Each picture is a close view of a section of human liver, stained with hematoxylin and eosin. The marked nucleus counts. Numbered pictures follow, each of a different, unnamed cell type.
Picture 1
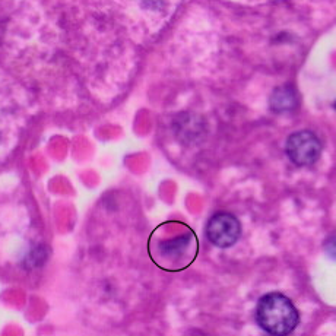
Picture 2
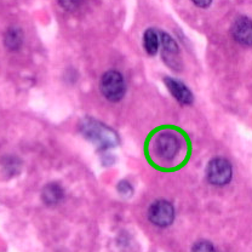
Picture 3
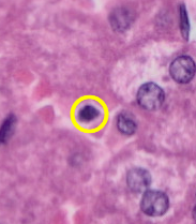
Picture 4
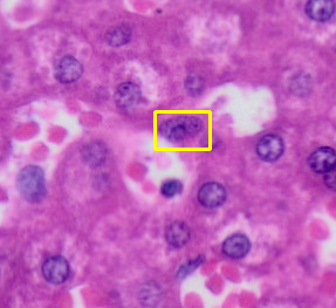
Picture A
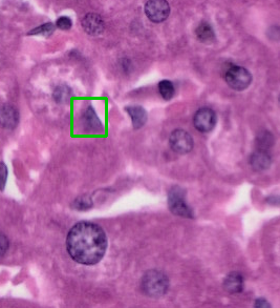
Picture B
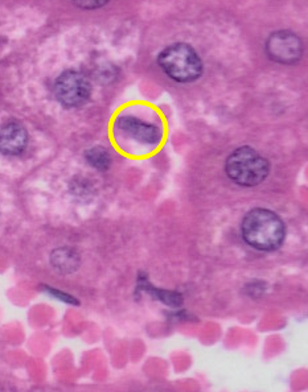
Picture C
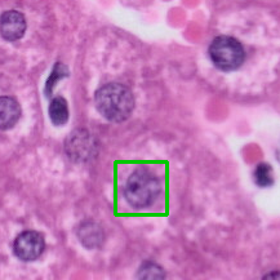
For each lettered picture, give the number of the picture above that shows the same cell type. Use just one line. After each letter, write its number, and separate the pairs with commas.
A 1, B 4, C 2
